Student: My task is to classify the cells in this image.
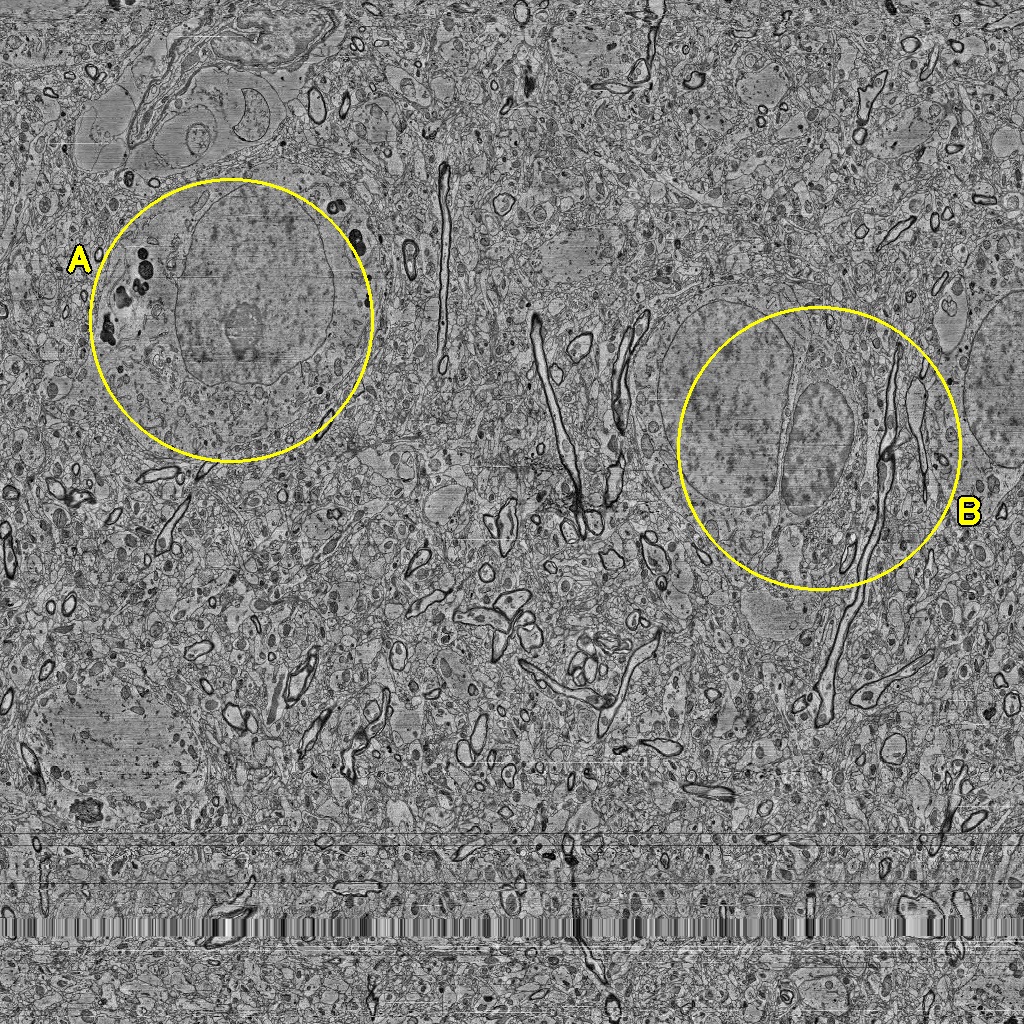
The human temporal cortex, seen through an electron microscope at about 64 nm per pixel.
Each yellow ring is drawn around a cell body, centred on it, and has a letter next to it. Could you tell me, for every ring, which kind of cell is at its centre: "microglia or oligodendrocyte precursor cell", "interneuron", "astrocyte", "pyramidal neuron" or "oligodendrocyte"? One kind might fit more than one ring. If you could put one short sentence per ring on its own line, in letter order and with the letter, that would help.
Ring A's central cell is a pyramidal neuron.
Ring B's central cell is an oligodendrocyte.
